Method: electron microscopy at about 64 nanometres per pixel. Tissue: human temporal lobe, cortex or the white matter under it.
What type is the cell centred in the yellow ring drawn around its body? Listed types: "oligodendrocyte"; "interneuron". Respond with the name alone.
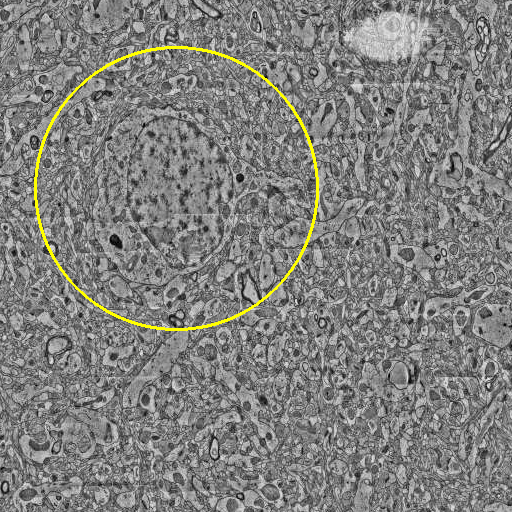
interneuron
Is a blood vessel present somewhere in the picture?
No.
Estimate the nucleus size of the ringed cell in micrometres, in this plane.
About 10 micrometres by about 7 micrometres in this plane.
